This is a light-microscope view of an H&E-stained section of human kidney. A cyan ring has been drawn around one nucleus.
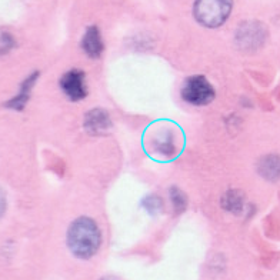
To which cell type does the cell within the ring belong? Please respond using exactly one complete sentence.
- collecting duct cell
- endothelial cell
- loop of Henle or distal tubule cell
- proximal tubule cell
Right, so the cell within the ring is a loop of Henle or distal tubule cell, to answer that.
